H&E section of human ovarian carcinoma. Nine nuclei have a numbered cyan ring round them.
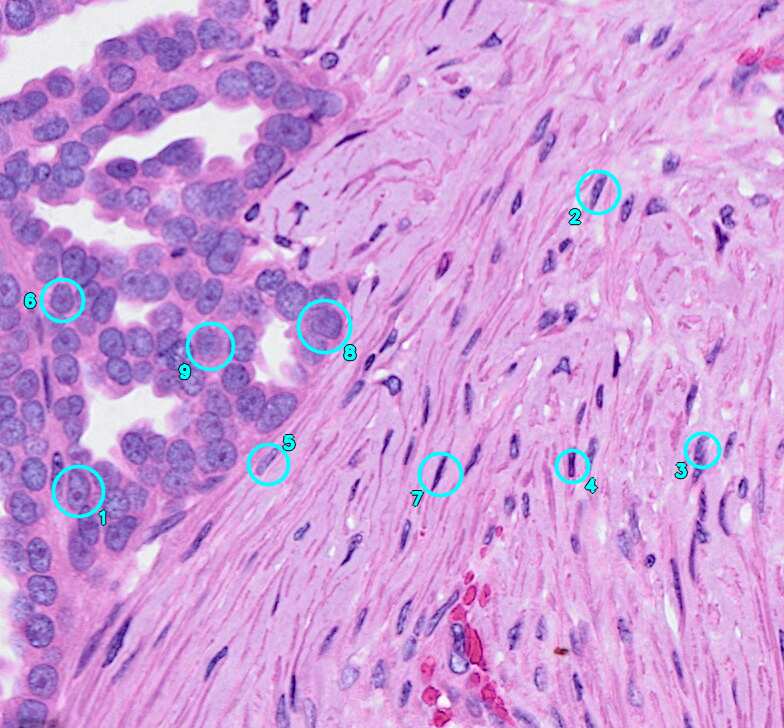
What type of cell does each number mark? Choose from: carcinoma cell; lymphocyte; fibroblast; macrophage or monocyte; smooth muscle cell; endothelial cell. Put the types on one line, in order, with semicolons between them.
carcinoma cell; fibroblast; fibroblast; fibroblast; fibroblast; carcinoma cell; fibroblast; carcinoma cell; carcinoma cell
